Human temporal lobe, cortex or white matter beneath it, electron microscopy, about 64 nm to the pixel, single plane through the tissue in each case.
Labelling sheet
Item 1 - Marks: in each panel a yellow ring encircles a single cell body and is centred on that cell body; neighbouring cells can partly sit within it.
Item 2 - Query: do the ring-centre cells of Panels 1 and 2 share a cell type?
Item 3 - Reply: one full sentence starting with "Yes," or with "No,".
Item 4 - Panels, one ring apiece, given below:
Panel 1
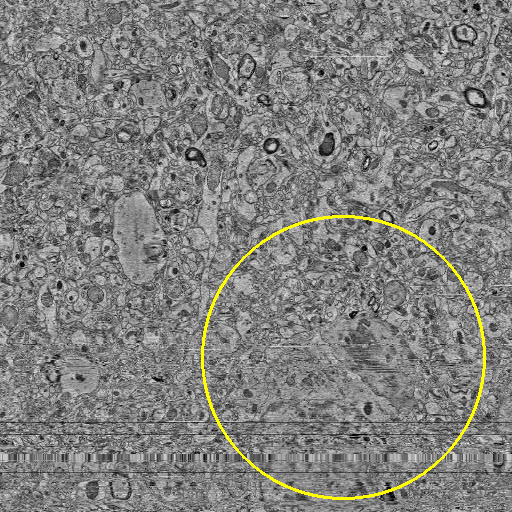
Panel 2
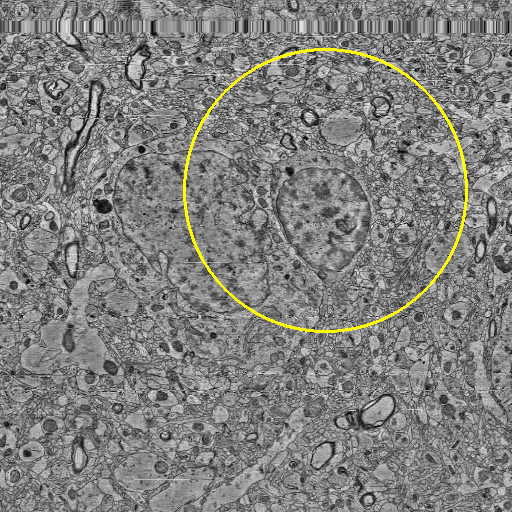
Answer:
Yes, Panel 1 and Panel 2 show one cell type at the centres of their rings.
